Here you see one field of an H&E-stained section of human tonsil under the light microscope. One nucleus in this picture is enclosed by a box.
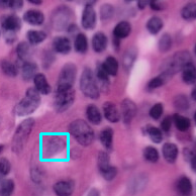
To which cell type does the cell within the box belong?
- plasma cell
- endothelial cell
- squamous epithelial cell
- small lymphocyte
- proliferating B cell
endothelial cell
